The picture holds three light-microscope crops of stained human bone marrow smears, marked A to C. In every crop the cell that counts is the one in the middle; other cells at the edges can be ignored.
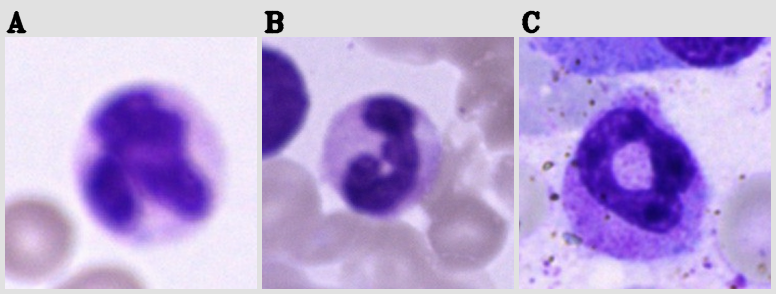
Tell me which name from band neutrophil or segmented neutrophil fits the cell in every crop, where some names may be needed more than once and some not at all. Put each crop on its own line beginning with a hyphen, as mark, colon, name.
- A: segmented neutrophil
- B: segmented neutrophil
- C: band neutrophil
